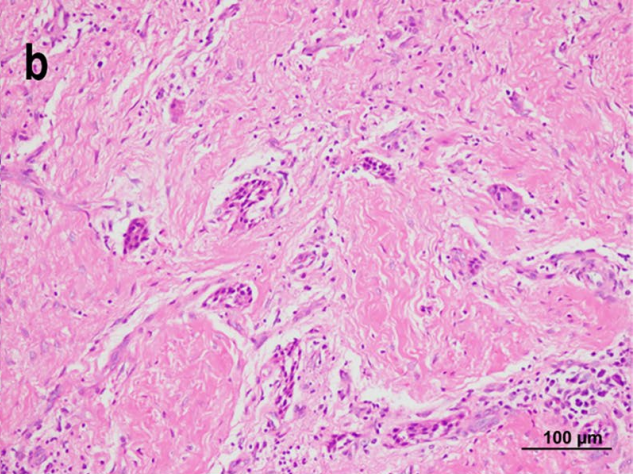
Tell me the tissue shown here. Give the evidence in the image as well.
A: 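Most of the field is pale pink fibrillar collagen. Sparse spindle-shaped nuclei lie between collagen bundles. Small epithelial nests are embedded in this stroma.
Conclusion: collagenous fibrous connective tissue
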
